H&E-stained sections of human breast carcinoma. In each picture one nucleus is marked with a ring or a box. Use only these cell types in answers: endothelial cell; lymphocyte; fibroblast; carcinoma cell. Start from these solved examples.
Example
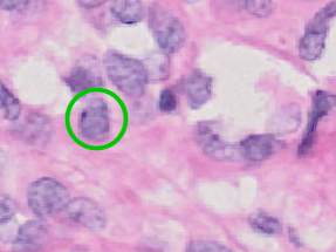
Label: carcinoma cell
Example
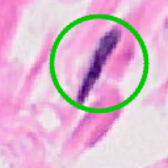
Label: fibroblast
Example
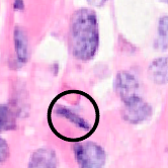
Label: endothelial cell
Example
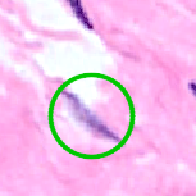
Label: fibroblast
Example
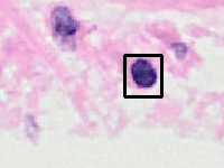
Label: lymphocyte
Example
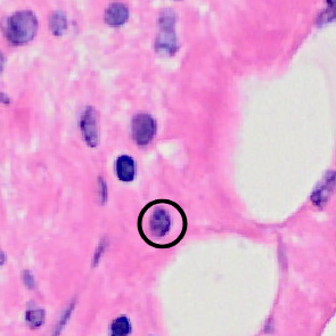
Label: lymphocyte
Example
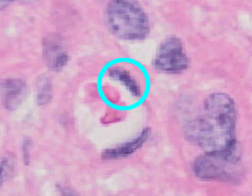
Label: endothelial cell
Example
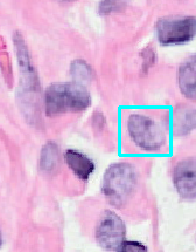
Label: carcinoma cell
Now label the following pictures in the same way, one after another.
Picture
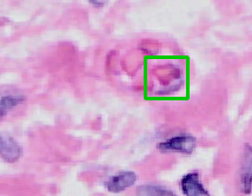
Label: endothelial cell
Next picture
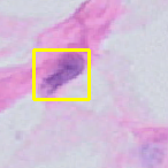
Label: fibroblast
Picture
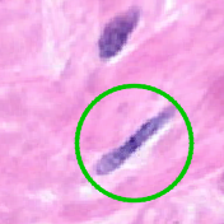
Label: fibroblast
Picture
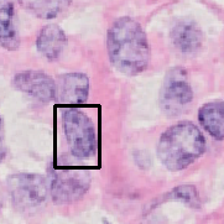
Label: carcinoma cell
